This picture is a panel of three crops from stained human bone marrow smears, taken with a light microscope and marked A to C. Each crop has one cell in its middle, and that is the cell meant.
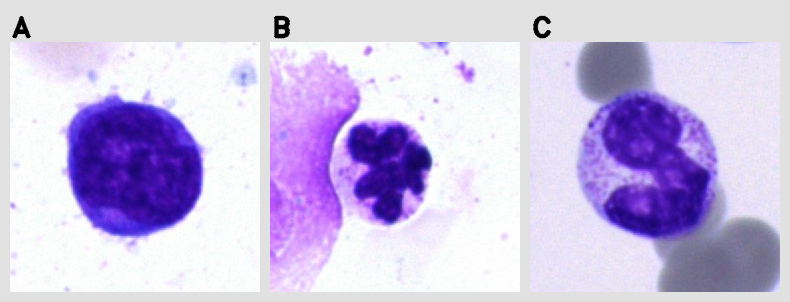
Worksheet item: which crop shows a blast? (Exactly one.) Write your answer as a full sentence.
Of the crops shown, crop A depicts a blast.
